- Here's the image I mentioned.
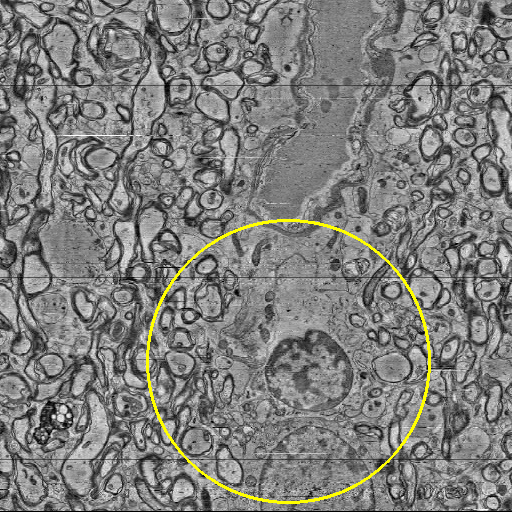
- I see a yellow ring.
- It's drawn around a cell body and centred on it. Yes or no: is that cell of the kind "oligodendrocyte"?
no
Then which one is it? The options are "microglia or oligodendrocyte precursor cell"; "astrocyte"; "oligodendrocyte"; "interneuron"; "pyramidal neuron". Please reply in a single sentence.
The correct answer is that the cell is a microglial cell or oligodendrocyte precursor cell.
